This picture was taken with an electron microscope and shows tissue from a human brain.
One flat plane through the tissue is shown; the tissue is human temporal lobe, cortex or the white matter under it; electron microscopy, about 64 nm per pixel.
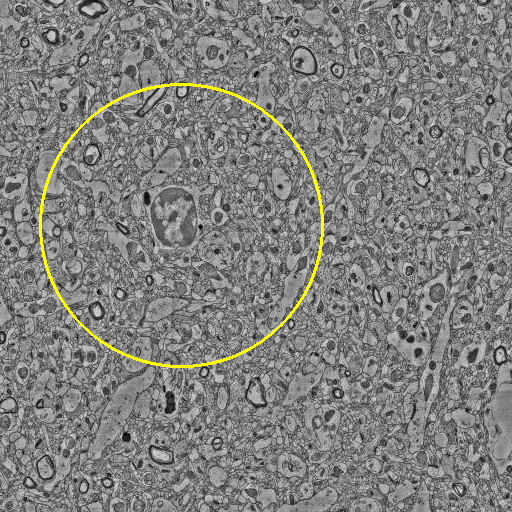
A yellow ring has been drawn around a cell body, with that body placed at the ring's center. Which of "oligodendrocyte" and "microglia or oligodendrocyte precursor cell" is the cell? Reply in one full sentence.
In this picture, a microglial cell or oligodendrocyte precursor cell is the cell at the center of the yellow ring.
